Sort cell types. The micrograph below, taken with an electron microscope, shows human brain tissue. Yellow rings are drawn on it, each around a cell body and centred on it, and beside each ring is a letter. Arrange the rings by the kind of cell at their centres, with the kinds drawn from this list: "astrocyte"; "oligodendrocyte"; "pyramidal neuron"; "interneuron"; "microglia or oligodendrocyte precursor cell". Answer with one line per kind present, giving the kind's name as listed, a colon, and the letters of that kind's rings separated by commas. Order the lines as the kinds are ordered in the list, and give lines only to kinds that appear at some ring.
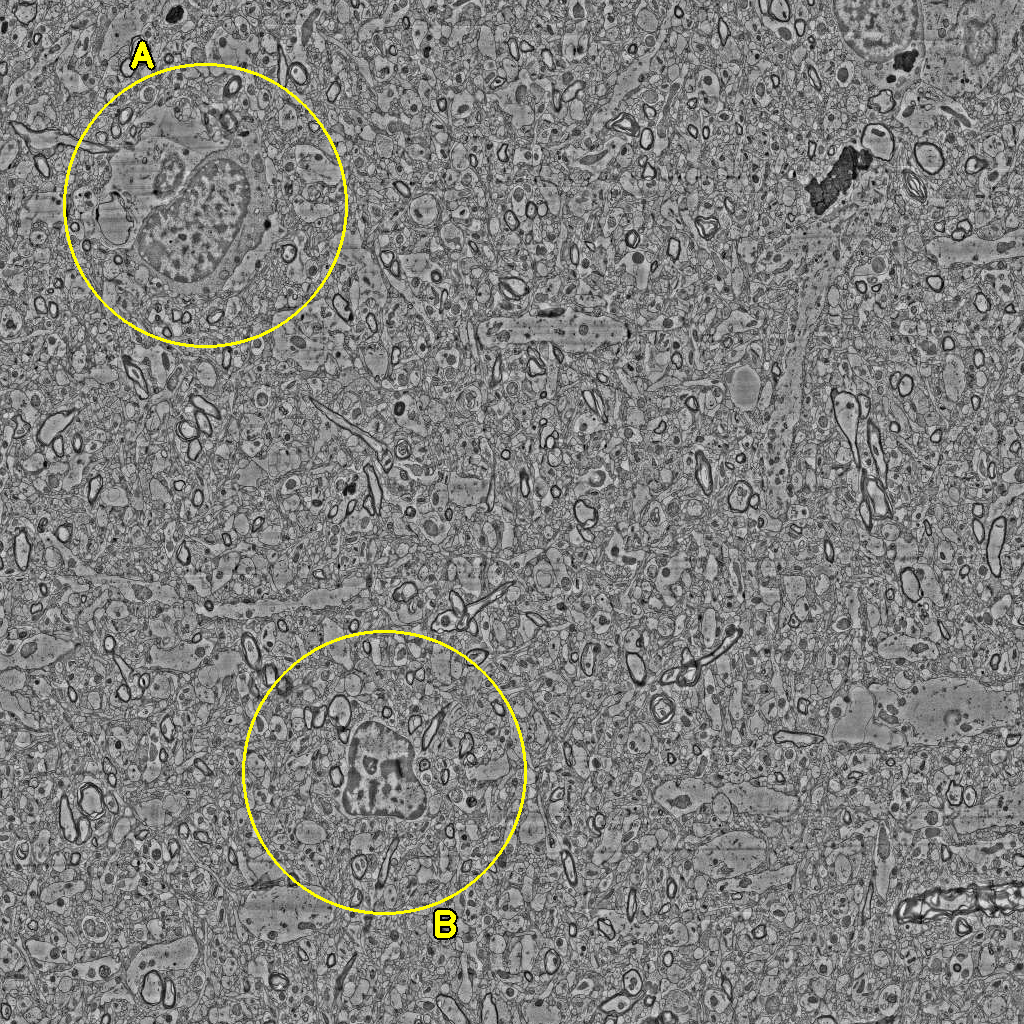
oligodendrocyte: A
microglia or oligodendrocyte precursor cell: B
